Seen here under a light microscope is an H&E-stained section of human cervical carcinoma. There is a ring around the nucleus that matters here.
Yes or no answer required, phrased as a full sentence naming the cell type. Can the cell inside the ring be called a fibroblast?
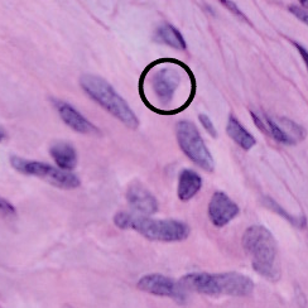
Yes, the cell inside the ring is identified as a fibroblast in this section.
